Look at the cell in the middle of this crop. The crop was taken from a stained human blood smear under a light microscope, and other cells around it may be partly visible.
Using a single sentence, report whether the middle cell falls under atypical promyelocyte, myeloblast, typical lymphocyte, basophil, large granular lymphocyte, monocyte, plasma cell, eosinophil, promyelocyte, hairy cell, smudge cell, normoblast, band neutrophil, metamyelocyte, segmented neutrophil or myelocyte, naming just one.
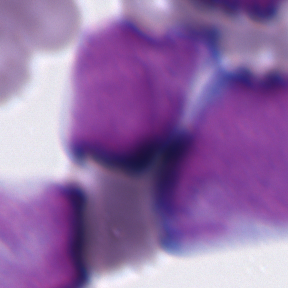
In short, the cell at the center is a myeloblast.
